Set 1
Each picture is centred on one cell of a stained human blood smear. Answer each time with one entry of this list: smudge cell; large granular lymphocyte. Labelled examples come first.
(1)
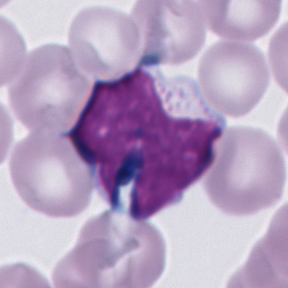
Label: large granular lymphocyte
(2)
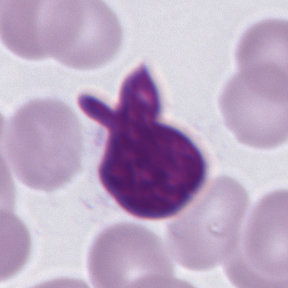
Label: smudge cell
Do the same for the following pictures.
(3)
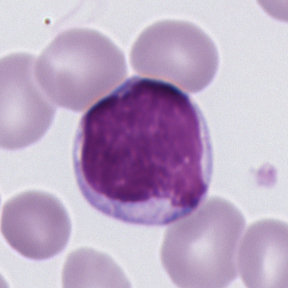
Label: large granular lymphocyte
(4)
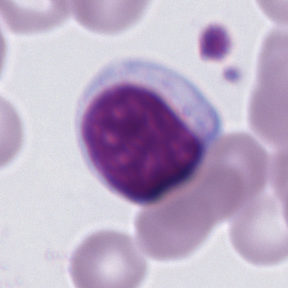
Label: large granular lymphocyte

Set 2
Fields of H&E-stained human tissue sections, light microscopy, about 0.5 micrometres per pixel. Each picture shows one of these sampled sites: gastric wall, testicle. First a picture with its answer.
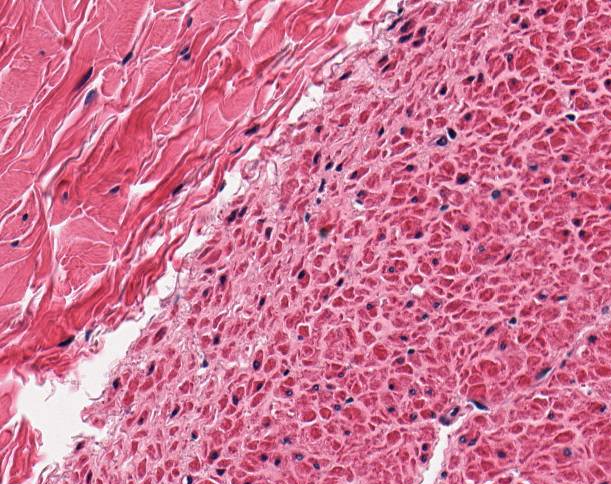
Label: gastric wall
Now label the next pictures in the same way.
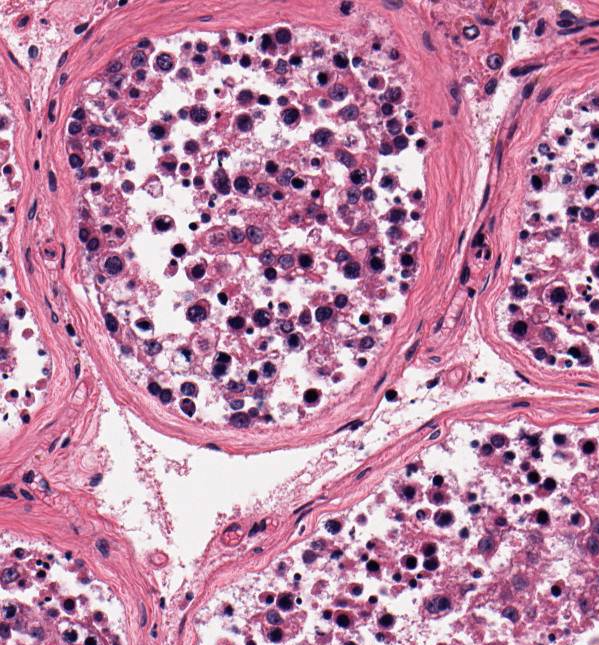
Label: testicle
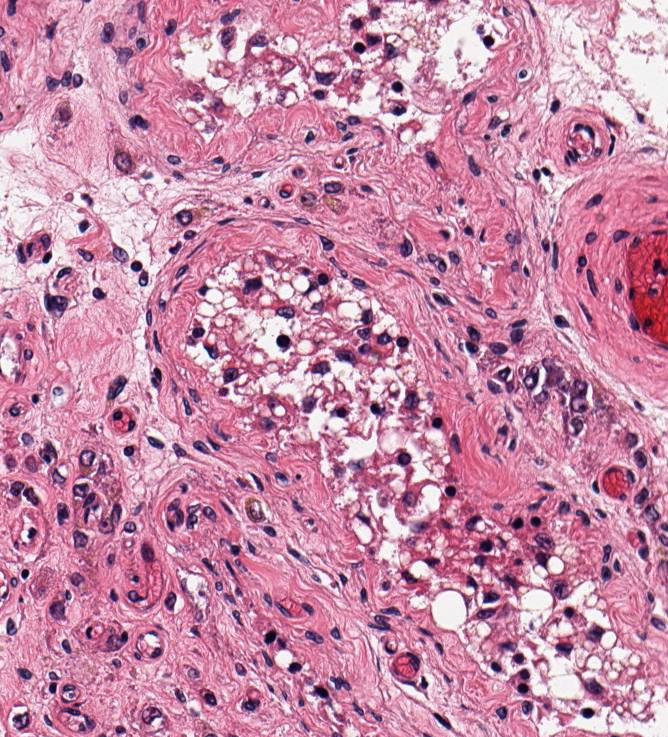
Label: testicle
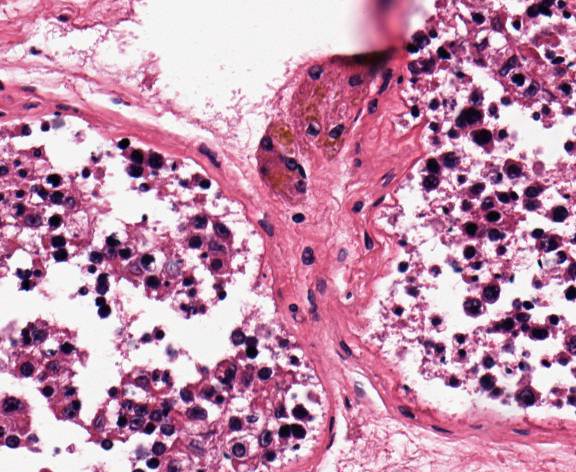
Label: testicle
